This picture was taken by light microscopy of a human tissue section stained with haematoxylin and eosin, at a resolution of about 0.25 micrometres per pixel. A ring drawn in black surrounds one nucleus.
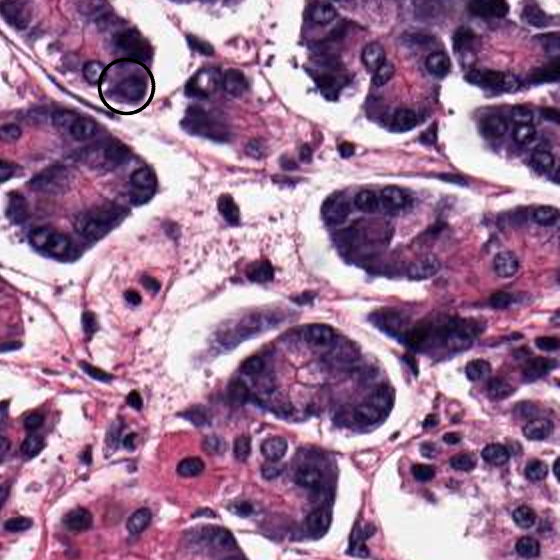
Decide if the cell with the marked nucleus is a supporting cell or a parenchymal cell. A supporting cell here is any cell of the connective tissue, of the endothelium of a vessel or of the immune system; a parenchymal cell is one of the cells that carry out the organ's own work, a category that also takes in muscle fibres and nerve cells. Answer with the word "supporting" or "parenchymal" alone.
parenchymal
